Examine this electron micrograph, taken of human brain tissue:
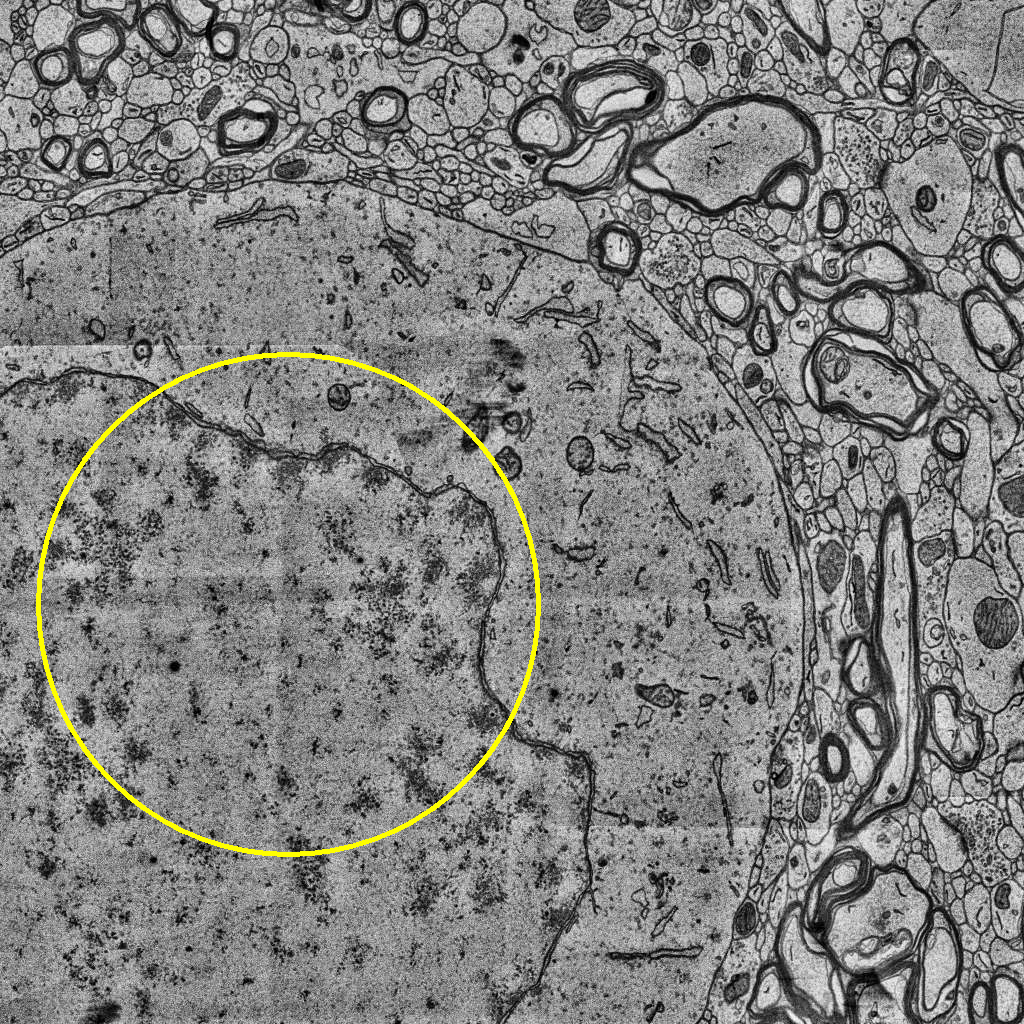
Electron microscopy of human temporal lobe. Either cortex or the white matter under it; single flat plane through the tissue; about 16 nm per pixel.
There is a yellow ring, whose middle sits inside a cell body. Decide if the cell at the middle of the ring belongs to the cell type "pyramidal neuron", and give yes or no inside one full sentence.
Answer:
Yes, the cell at the centre of the yellow ring in this picture is of that type.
